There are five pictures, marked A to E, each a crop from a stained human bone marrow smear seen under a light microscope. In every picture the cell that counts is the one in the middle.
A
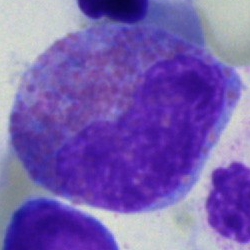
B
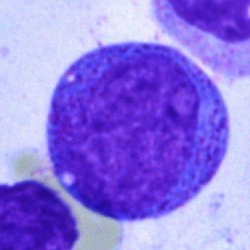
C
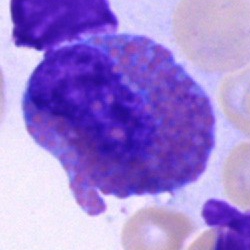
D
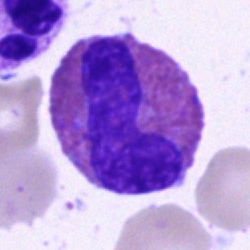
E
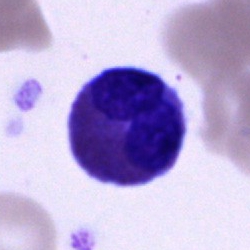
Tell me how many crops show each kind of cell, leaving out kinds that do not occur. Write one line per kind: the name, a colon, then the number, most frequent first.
eosinophil: 4
promyelocyte: 1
